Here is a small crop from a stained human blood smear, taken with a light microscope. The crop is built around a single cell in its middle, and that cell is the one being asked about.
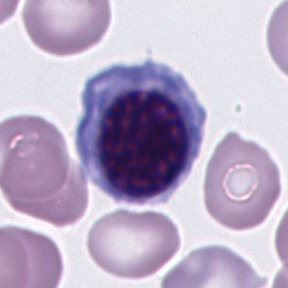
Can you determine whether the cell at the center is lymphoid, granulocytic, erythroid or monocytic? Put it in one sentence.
Designated erythroid in lineage is the cell at the center of the crop.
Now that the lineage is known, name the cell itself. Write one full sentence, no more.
By classification, the middle cell of this crop is a normoblast.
